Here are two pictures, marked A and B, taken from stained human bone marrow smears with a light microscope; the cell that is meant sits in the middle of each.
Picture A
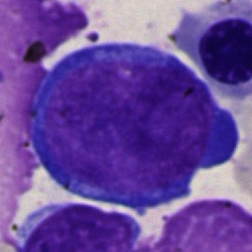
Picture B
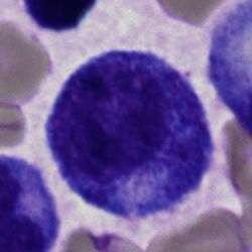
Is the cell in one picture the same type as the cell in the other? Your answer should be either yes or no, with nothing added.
no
